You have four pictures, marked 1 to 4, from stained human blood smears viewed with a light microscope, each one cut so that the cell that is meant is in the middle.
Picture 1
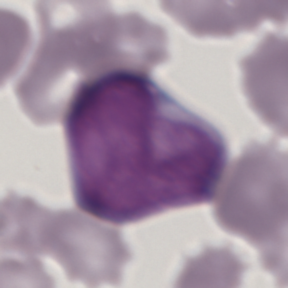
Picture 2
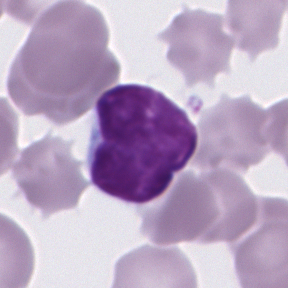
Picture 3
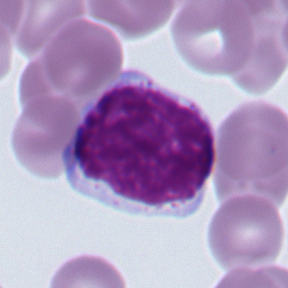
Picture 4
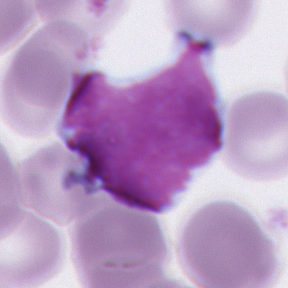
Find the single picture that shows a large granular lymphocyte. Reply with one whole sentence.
The large granular lymphocyte is the one in picture 3.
